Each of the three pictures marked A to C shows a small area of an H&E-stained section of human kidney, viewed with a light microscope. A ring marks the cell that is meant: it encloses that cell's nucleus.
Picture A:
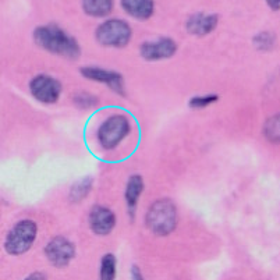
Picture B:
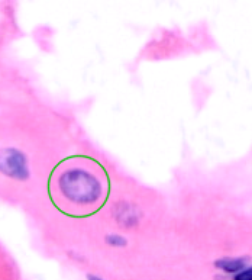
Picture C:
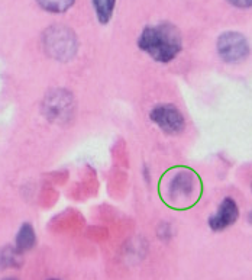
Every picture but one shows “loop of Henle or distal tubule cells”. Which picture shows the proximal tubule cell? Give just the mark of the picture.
B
